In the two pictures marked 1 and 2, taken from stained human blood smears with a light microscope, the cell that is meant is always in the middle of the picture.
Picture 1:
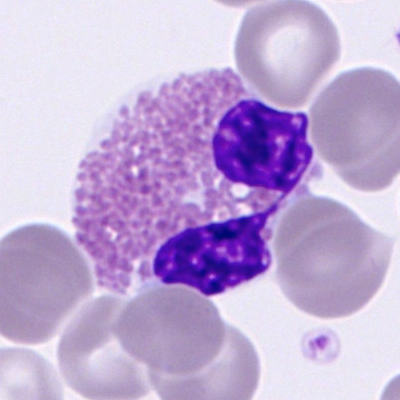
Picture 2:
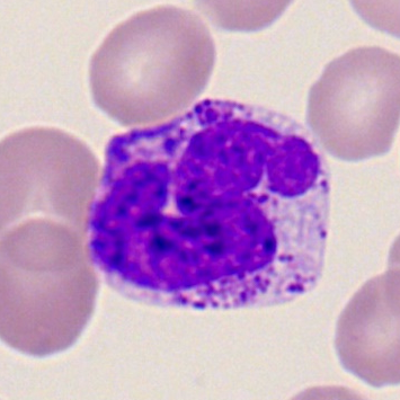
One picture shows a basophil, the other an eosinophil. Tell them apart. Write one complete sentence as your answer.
Picture 2 shows a basophil, while picture 1 shows an eosinophil.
